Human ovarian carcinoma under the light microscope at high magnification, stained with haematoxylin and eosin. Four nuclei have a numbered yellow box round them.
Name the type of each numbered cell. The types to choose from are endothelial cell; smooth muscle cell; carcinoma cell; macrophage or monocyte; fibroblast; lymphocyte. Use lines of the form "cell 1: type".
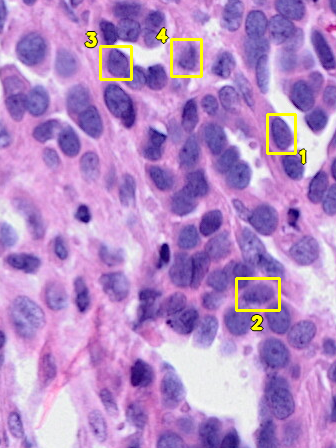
cell 1: carcinoma cell
cell 2: carcinoma cell
cell 3: carcinoma cell
cell 4: macrophage or monocyte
